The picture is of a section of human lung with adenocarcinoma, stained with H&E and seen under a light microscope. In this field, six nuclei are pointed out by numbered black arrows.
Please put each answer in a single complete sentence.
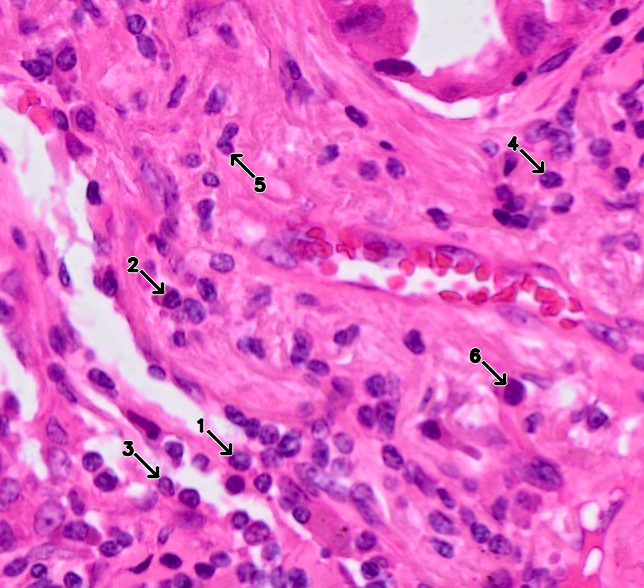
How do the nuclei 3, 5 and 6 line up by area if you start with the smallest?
Smallest first, the nuclei run 5, 3, 6.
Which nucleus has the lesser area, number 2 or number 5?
It is nucleus 5; nucleus 2 has about 1.5 times its area.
